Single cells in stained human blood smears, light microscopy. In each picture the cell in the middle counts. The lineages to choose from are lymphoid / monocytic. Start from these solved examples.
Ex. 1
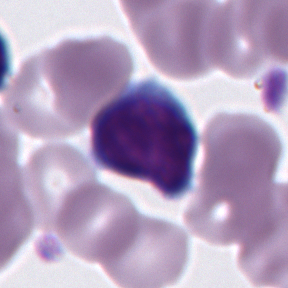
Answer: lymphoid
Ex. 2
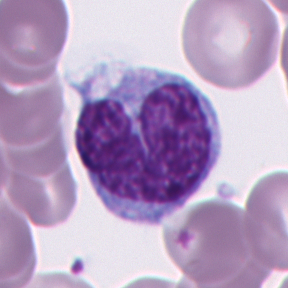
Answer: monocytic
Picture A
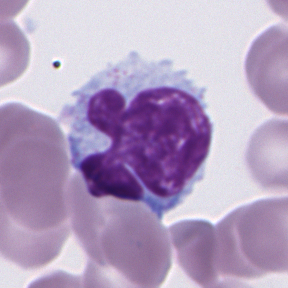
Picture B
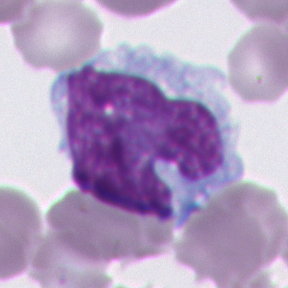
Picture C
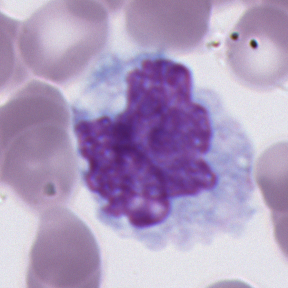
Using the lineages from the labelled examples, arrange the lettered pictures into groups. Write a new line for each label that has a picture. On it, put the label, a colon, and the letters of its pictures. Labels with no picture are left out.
monocytic: A, B, C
